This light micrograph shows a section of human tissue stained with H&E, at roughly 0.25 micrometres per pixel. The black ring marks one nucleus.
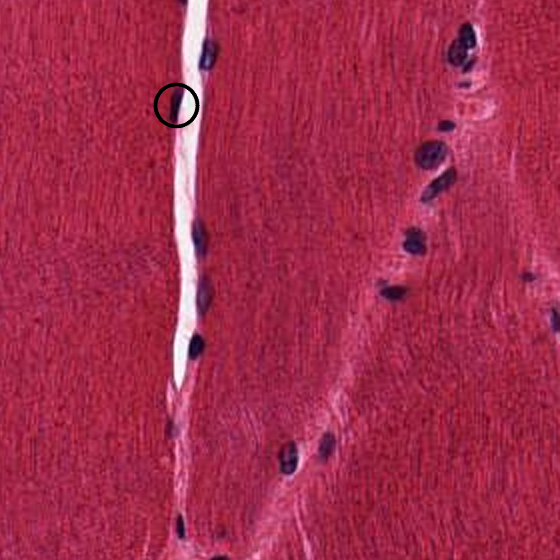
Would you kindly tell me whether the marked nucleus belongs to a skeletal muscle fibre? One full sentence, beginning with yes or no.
Yes, the marked nucleus, as shown, belongs to a skeletal muscle fibre.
